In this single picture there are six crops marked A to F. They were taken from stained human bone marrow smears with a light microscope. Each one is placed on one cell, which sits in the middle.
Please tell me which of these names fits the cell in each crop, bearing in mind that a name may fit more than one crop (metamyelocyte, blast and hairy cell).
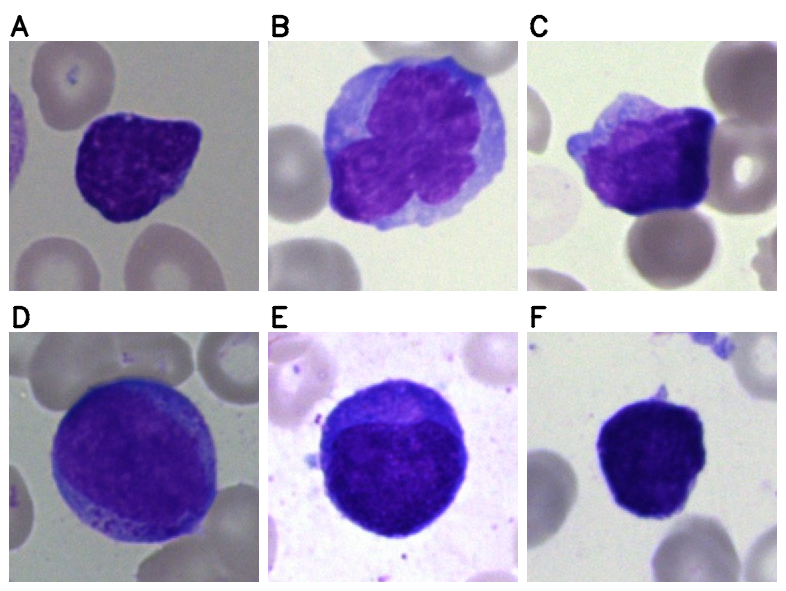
A: blast
B: blast
C: blast
D: blast
E: blast
F: blast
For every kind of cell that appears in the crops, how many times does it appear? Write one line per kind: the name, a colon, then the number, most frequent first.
blast: 6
